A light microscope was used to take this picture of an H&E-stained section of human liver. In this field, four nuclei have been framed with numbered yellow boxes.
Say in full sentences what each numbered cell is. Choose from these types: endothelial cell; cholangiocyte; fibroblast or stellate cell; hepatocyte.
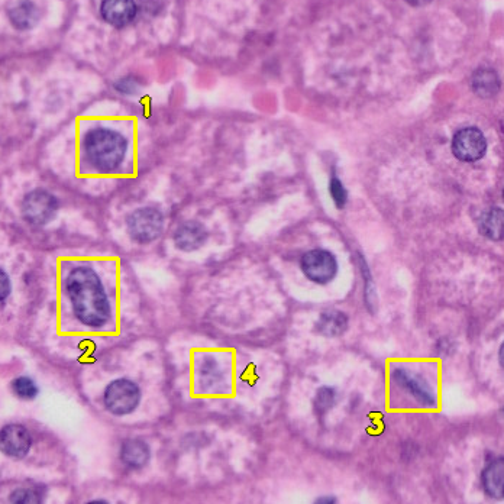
Cell 1 is a hepatocyte, cell 2 is a hepatocyte, cell 3 is an endothelial cell and cell 4 is a hepatocyte.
